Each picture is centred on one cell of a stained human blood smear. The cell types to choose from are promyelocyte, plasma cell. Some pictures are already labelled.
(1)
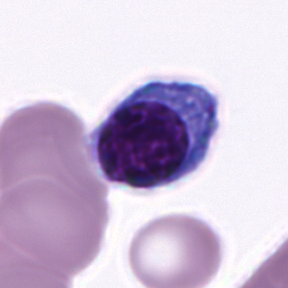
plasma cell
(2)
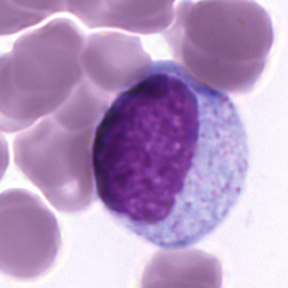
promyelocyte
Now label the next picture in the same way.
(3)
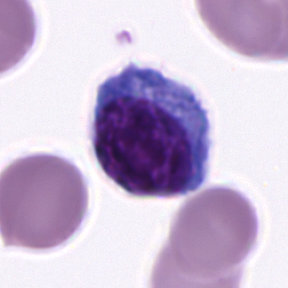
plasma cell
